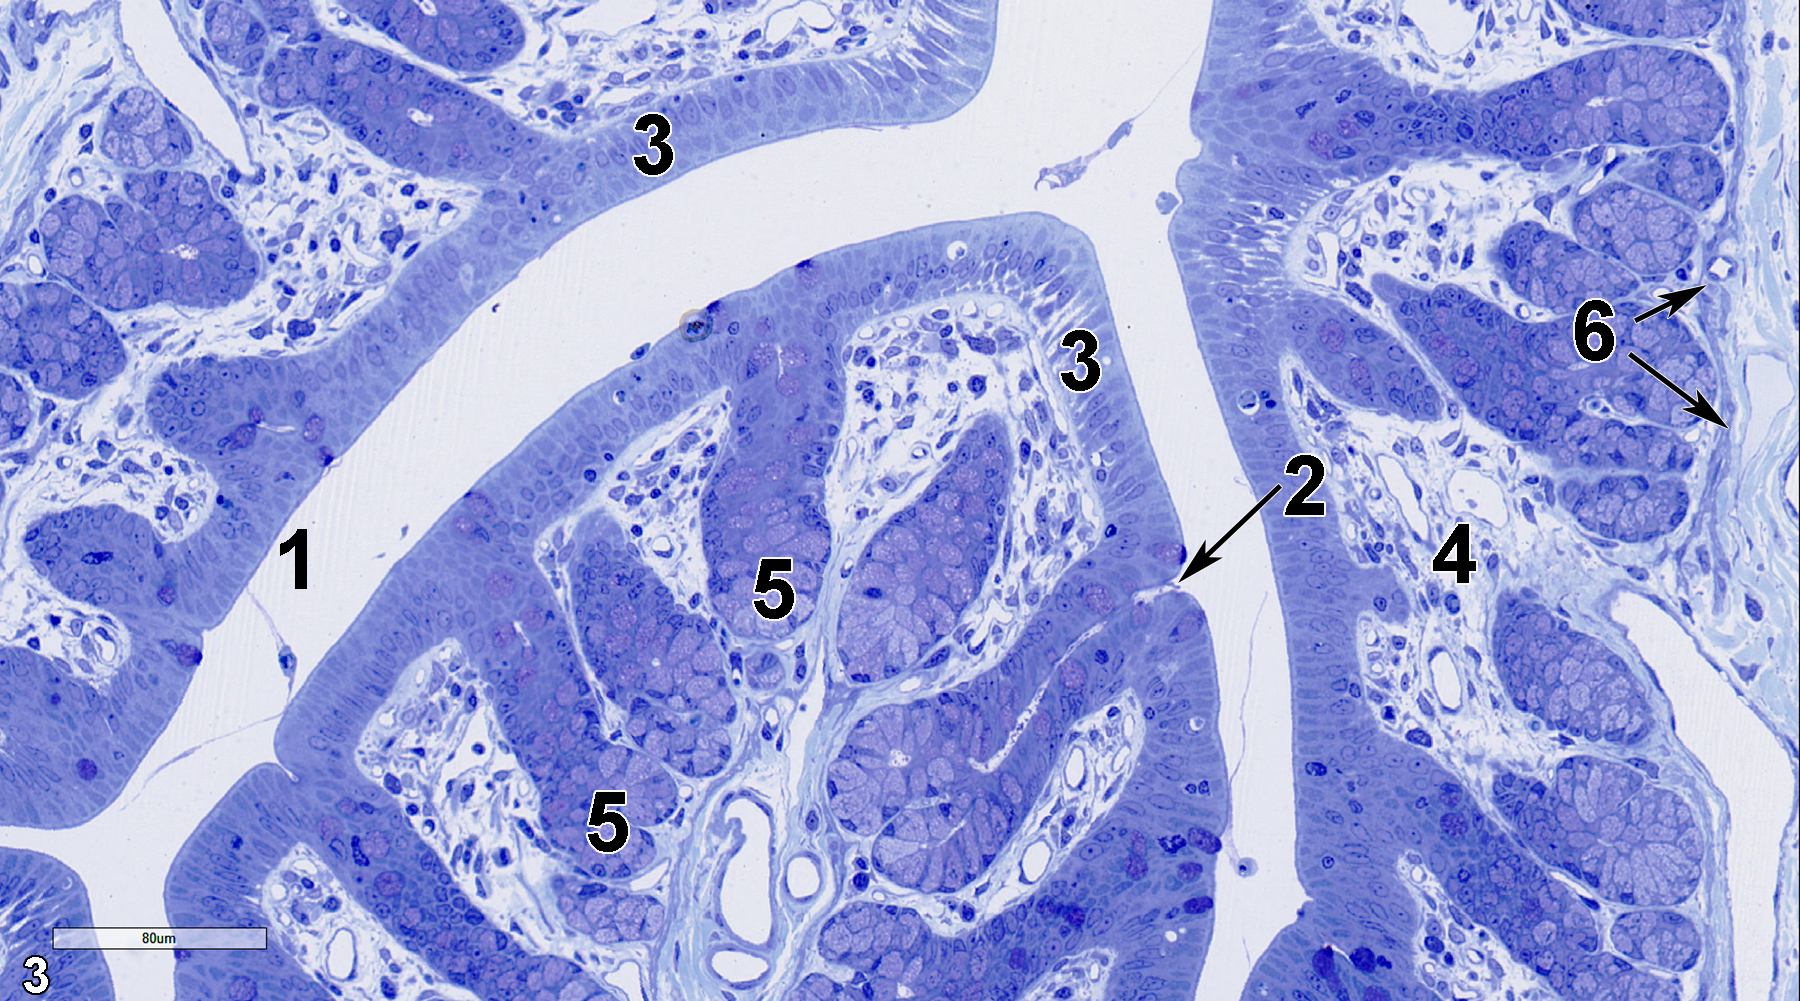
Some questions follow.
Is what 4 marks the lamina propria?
Yes.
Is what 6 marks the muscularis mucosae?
Yes, 6 marks the muscularis mucosae.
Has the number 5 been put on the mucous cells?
Yes, 5 marks the mucous cells.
